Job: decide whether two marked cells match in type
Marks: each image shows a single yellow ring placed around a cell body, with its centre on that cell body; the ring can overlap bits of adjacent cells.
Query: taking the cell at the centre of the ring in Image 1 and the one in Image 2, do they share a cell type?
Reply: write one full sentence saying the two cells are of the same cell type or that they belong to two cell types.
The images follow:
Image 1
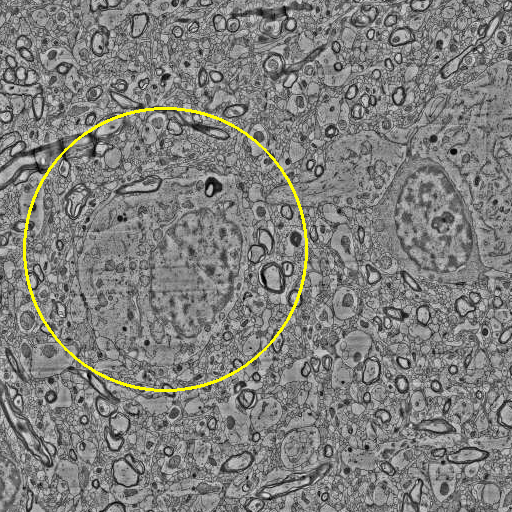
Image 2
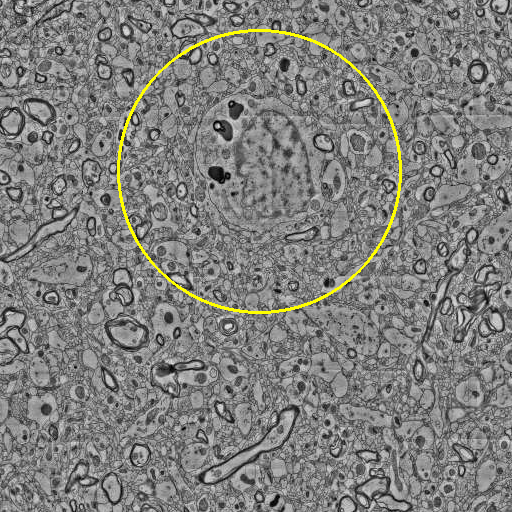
The cells at the ring centres in Image 1 and Image 2 are of the same cell type.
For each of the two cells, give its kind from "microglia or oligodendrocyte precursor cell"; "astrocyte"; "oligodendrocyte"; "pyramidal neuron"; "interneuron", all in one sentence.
The ring centre holds an interneuron in each of the two pictures.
